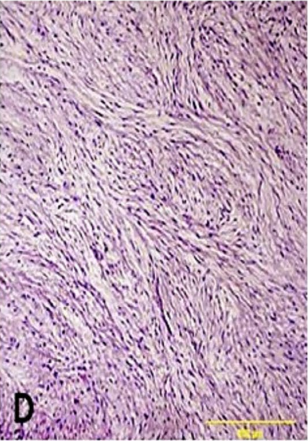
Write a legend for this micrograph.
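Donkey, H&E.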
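The section shows a dense proliferation of spindle-shaped fibroblasts filling the whole field. The cells have elongated, slender, darkly stained nuclei and pale pink fibrillar cytoplasm that merges with the surrounding matrix. They are arranged in wavy streams and bundles that sweep and cross one another in an interlacing pattern. No glandular or epithelial structures are seen among them.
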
